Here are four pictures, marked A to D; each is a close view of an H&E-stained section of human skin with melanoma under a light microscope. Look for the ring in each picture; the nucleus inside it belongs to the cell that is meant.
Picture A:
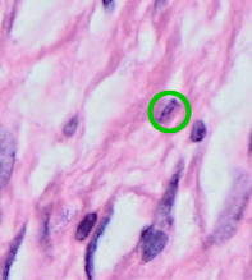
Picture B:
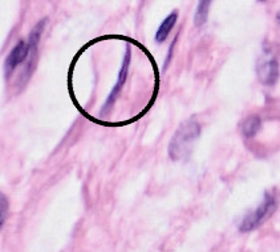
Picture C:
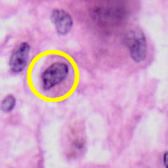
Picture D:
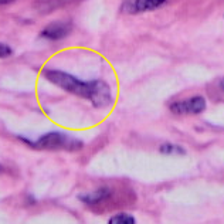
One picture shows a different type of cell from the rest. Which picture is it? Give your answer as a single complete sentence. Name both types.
Picture C differs, because its cell is a “macrophage or monocyte” and the rest are “fibroblasts or myofibroblasts”.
